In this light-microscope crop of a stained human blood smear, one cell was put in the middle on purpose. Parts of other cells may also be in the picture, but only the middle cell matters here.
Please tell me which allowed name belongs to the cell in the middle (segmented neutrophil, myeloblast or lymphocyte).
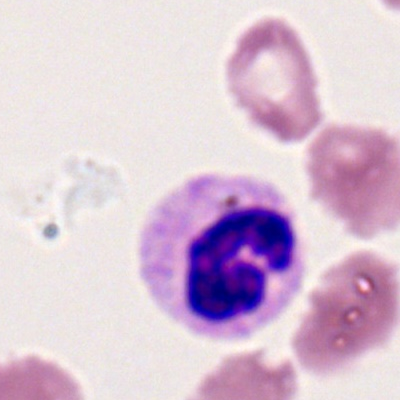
segmented neutrophil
